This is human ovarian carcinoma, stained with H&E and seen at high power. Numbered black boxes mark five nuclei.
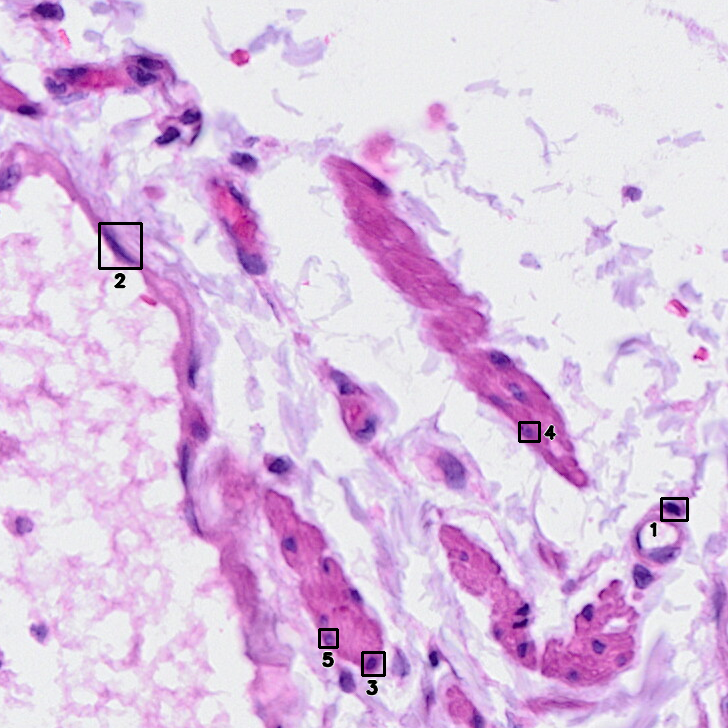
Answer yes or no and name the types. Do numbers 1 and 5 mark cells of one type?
No, unlike cell 5, which is a smooth muscle cell, cell 1 is a macrophage or monocyte.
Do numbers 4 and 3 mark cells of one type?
Yes, for cells 4 and 3 alike, the identity is that of smooth muscle cells.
